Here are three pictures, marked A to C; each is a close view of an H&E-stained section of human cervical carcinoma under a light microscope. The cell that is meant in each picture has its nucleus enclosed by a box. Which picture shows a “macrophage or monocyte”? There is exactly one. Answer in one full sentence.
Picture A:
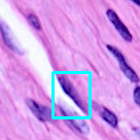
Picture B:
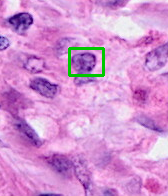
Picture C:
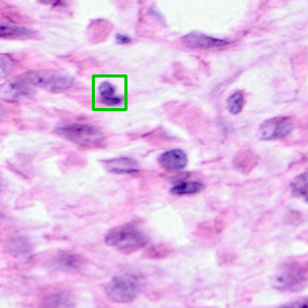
Picture B shows the “macrophage or monocyte”.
